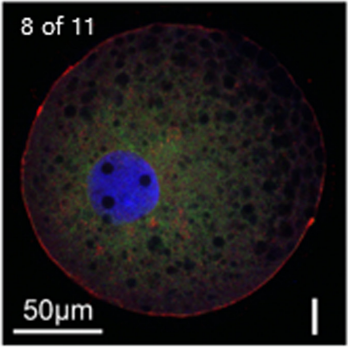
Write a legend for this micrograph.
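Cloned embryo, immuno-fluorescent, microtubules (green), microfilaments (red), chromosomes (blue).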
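Egg with a single swollen pronucleus in the ooplasm. One large round blue body lies near the middle and holds several dark round spots. The ooplasm is green with a fine network and darker granules, and a thin red rim runs along the egg surface. No body is pinched off at the edge.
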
